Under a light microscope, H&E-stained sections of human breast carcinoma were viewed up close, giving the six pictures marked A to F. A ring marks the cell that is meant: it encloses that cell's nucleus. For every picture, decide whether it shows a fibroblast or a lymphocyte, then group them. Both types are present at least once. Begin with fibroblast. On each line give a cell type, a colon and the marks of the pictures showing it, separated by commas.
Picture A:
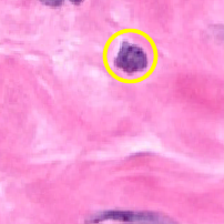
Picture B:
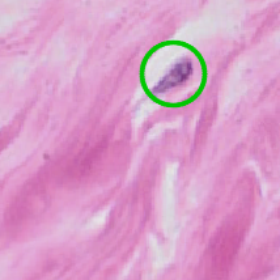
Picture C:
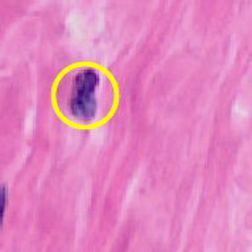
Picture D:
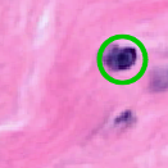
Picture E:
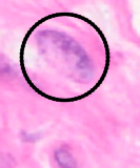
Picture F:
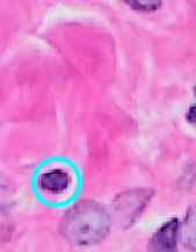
fibroblast: B, E
lymphocyte: A, C, D, F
